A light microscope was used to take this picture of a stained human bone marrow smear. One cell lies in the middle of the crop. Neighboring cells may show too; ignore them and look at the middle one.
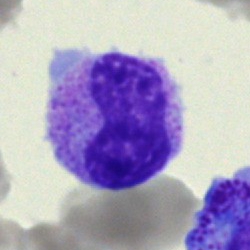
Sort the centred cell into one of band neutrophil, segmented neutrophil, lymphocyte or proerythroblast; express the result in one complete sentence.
The middle of this crop is occupied by a band neutrophil.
